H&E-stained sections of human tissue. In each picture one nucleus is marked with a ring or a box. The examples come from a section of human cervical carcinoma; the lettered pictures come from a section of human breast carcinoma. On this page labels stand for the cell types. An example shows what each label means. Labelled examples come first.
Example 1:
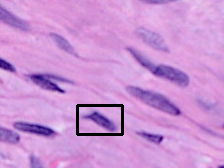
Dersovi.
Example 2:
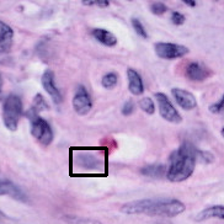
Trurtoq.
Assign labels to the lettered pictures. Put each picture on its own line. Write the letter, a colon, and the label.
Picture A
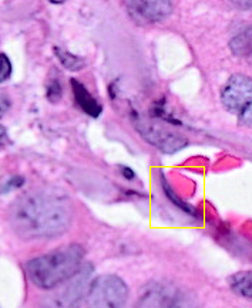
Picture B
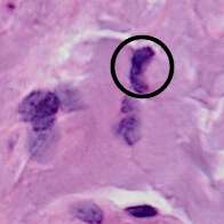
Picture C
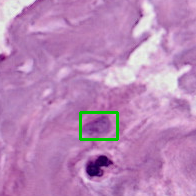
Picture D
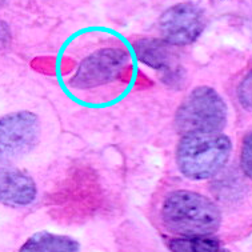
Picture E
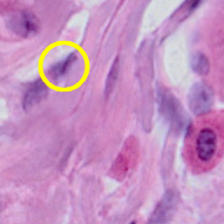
A: Trurtoq.
B: Dersovi.
C: Dersovi.
D: Trurtoq.
E: Dersovi.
